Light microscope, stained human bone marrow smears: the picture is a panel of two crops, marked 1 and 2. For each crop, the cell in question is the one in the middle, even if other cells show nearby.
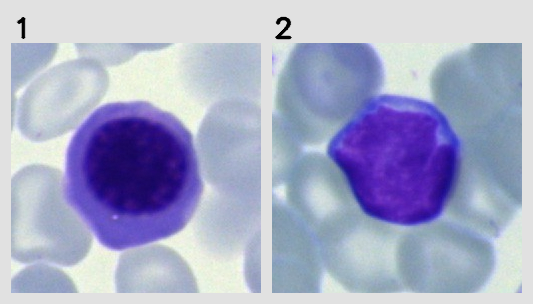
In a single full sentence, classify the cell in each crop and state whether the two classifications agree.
No, crop 1 shows an erythroblast, and it is crop 2 that shows a lymphocyte.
